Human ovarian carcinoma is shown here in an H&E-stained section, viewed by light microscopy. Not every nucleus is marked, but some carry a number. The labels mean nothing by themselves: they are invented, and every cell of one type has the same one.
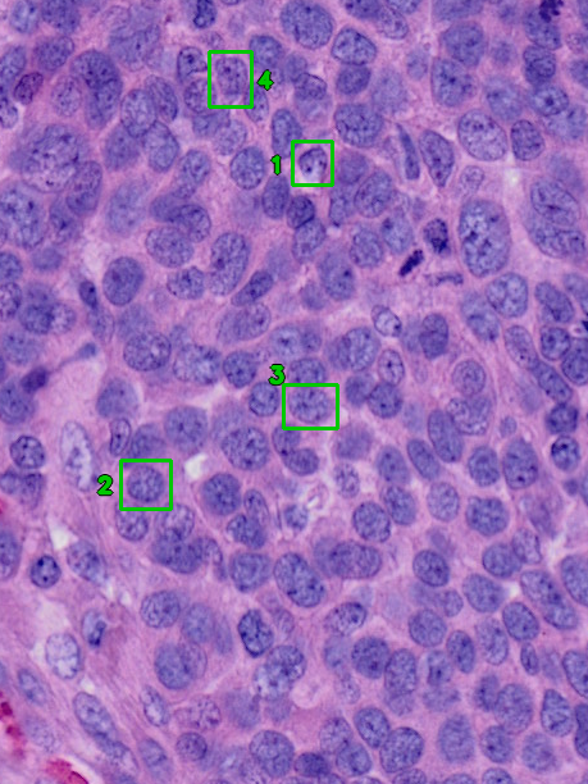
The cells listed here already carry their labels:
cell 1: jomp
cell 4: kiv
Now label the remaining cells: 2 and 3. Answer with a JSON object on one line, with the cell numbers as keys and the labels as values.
{"2": "kiv", "3": "kiv"}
